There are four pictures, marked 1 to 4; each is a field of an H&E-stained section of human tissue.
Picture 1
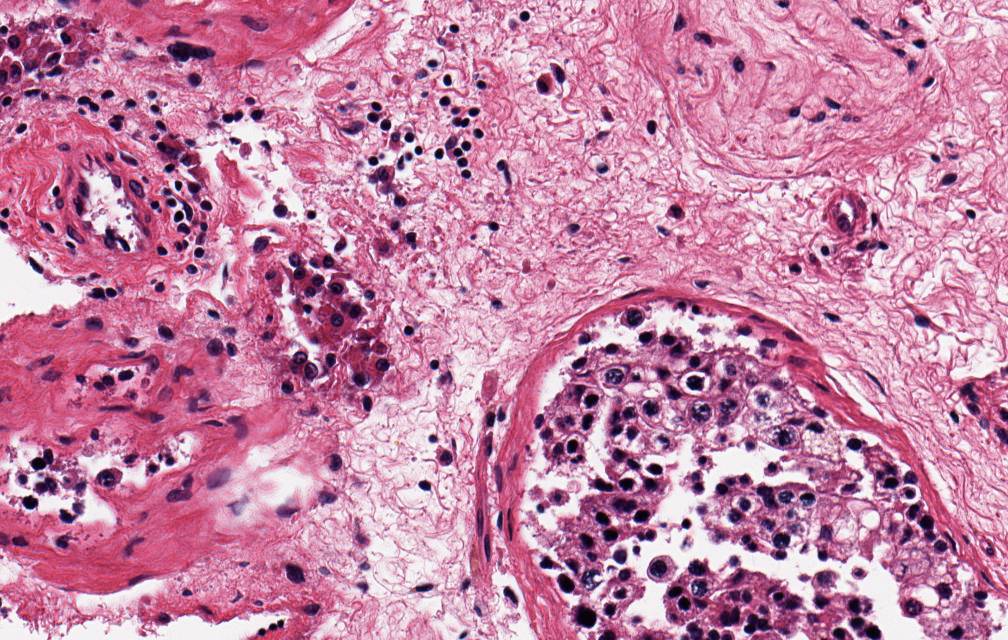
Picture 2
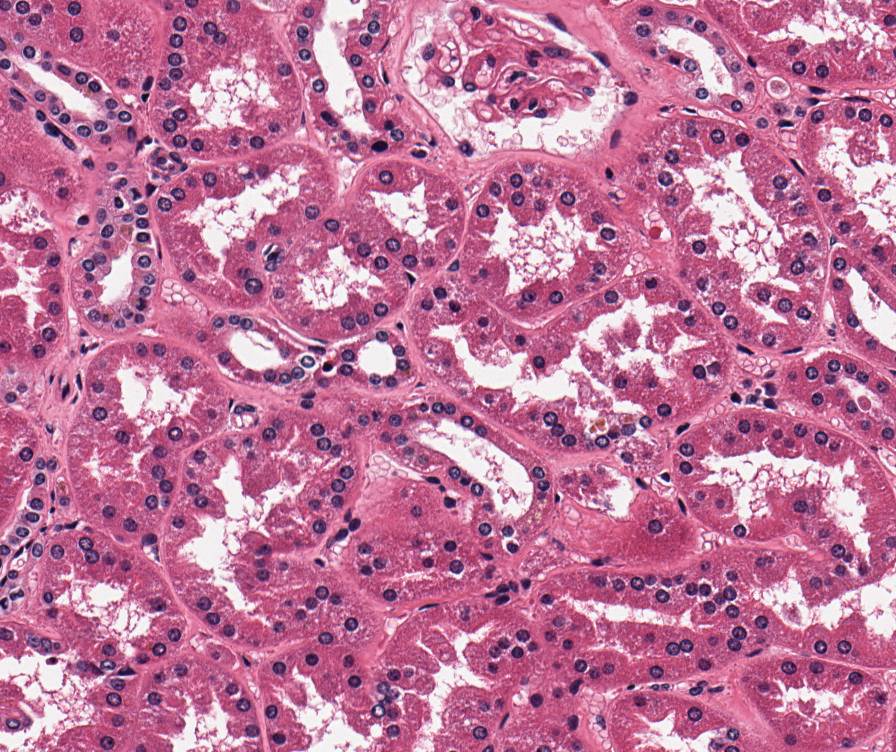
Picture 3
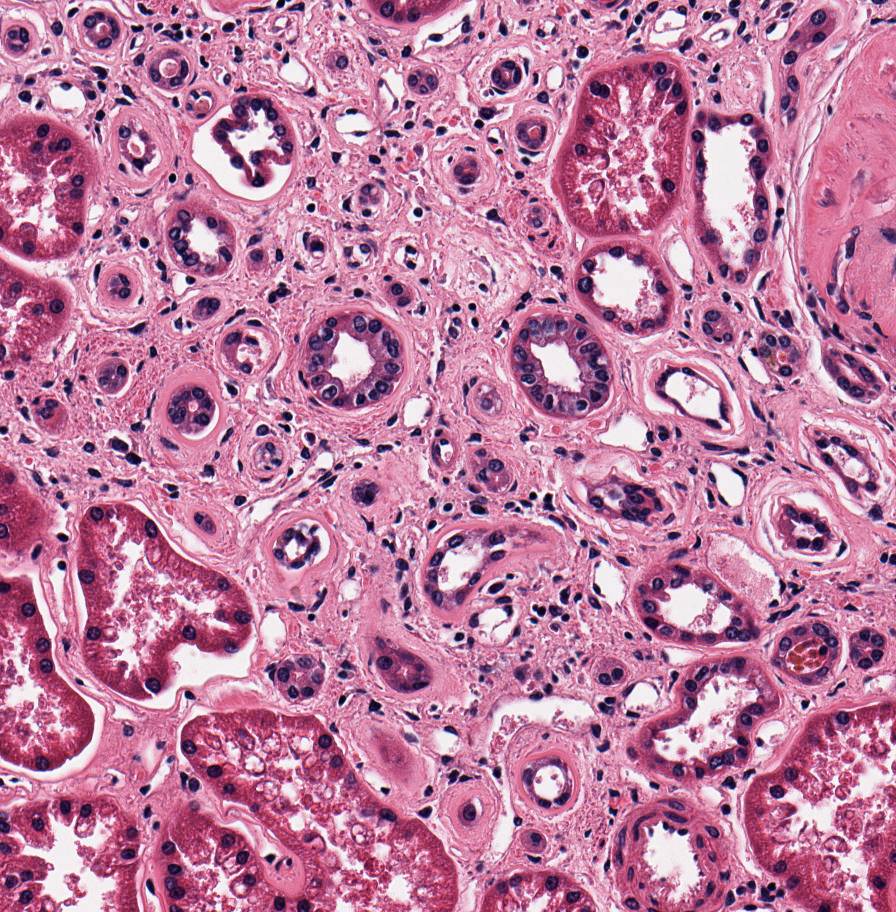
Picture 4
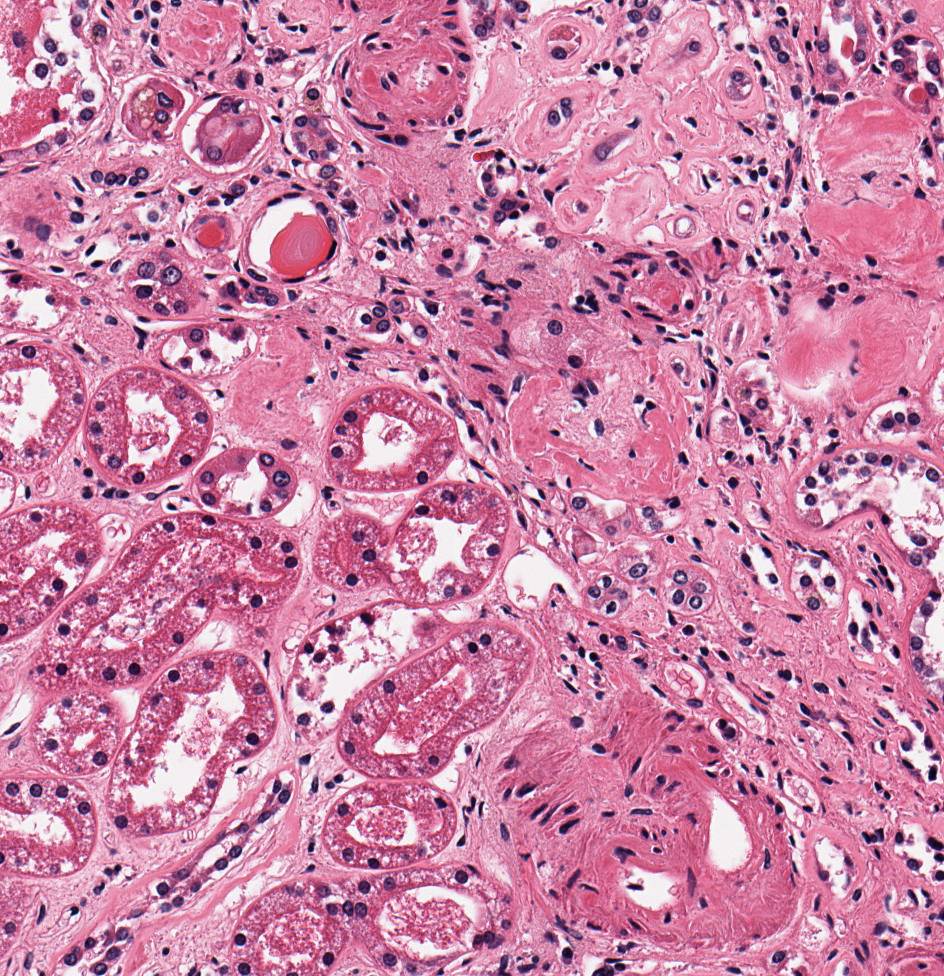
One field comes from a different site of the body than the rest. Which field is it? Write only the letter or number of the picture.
1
